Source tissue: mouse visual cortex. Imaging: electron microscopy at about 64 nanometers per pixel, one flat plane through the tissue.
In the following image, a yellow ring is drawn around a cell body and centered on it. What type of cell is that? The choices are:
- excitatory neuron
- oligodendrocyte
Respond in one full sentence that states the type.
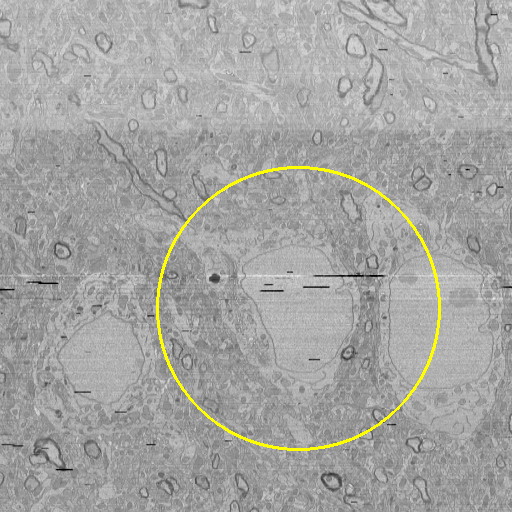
The cell at the center of the yellow ring in the image is an excitatory neuron.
